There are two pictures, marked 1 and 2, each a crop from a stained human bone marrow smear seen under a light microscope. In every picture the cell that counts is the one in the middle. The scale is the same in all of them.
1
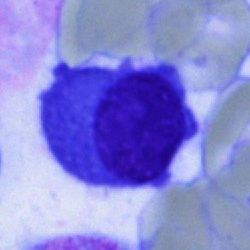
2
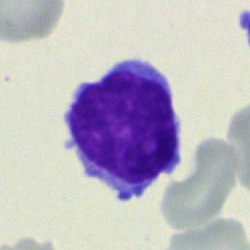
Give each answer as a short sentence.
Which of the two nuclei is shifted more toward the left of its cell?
In crop 2 the nucleus is shifted more toward the left.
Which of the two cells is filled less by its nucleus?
In crop 1 the nucleus takes up the smaller part of its cell.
